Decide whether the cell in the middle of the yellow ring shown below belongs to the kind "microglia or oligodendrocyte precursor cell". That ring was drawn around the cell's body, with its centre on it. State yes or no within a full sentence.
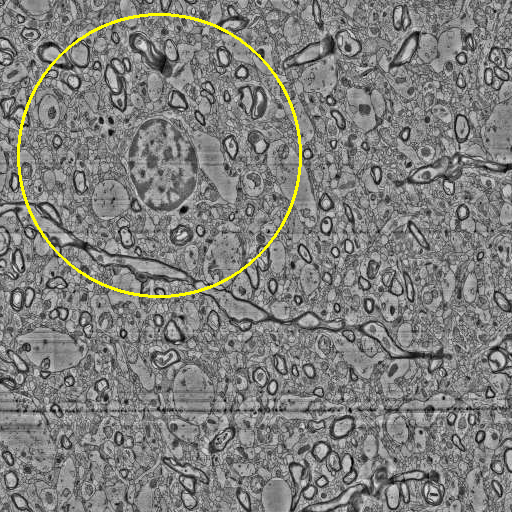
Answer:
Yes, the cell whose body lies at the ring's centre in the picture belongs to that kind.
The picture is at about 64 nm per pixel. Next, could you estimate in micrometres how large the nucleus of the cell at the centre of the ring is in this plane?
In this plane, the nucleus of the cell at the centre of the ring measures about 6 by 4 micrometres.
